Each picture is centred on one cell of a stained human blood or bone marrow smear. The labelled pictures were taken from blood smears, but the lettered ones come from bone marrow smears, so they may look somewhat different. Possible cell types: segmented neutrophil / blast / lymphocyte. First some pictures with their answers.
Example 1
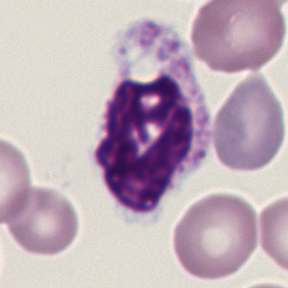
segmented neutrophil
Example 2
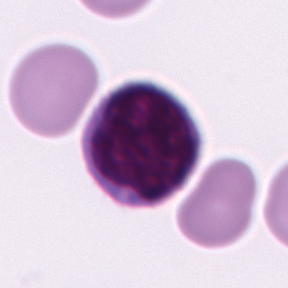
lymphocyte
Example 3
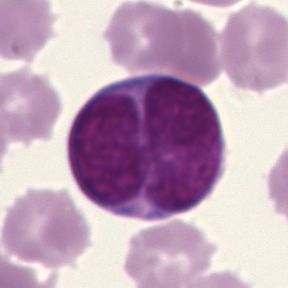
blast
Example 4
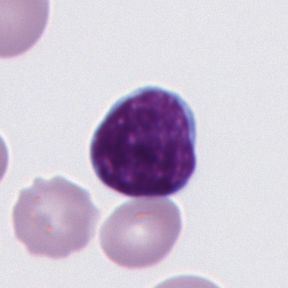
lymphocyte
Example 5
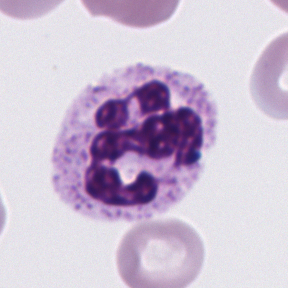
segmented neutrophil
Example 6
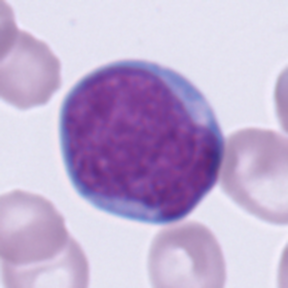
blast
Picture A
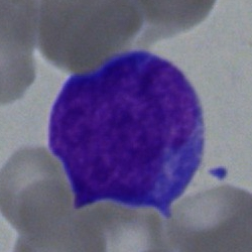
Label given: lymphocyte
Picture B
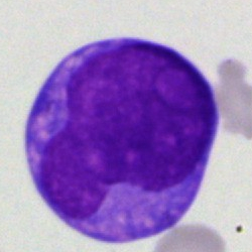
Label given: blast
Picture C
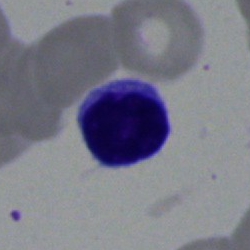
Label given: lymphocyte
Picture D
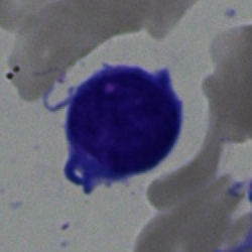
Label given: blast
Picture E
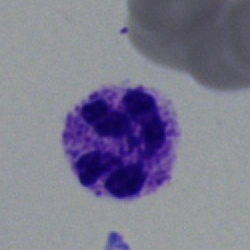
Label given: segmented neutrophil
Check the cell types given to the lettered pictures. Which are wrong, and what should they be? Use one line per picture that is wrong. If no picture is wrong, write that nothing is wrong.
Wrong: A (lymphocyte); correct: blast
